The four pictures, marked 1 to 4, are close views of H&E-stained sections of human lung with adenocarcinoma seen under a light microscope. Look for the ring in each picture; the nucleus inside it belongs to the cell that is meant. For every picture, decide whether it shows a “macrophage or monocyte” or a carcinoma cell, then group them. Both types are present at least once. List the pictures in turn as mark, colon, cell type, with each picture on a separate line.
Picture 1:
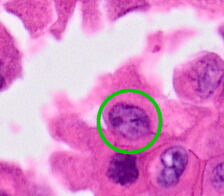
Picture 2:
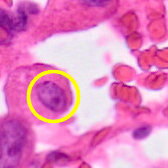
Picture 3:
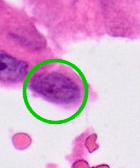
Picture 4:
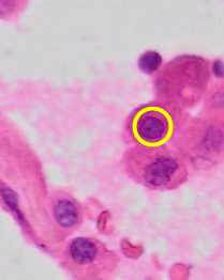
1: carcinoma cell
2: macrophage or monocyte
3: carcinoma cell
4: macrophage or monocyte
